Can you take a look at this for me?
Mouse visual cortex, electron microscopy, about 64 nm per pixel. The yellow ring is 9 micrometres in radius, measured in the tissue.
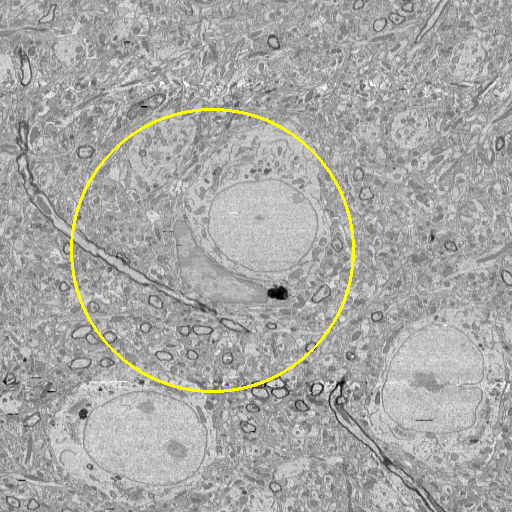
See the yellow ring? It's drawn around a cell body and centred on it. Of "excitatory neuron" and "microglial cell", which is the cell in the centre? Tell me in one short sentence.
The one in the centre is a microglial cell.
